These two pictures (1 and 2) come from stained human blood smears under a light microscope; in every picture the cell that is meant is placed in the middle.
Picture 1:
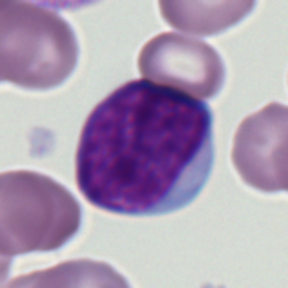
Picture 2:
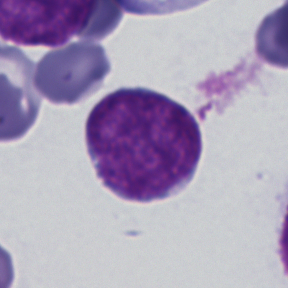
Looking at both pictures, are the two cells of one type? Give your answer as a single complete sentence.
Yes, they are the same type: both are myeloblasts.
